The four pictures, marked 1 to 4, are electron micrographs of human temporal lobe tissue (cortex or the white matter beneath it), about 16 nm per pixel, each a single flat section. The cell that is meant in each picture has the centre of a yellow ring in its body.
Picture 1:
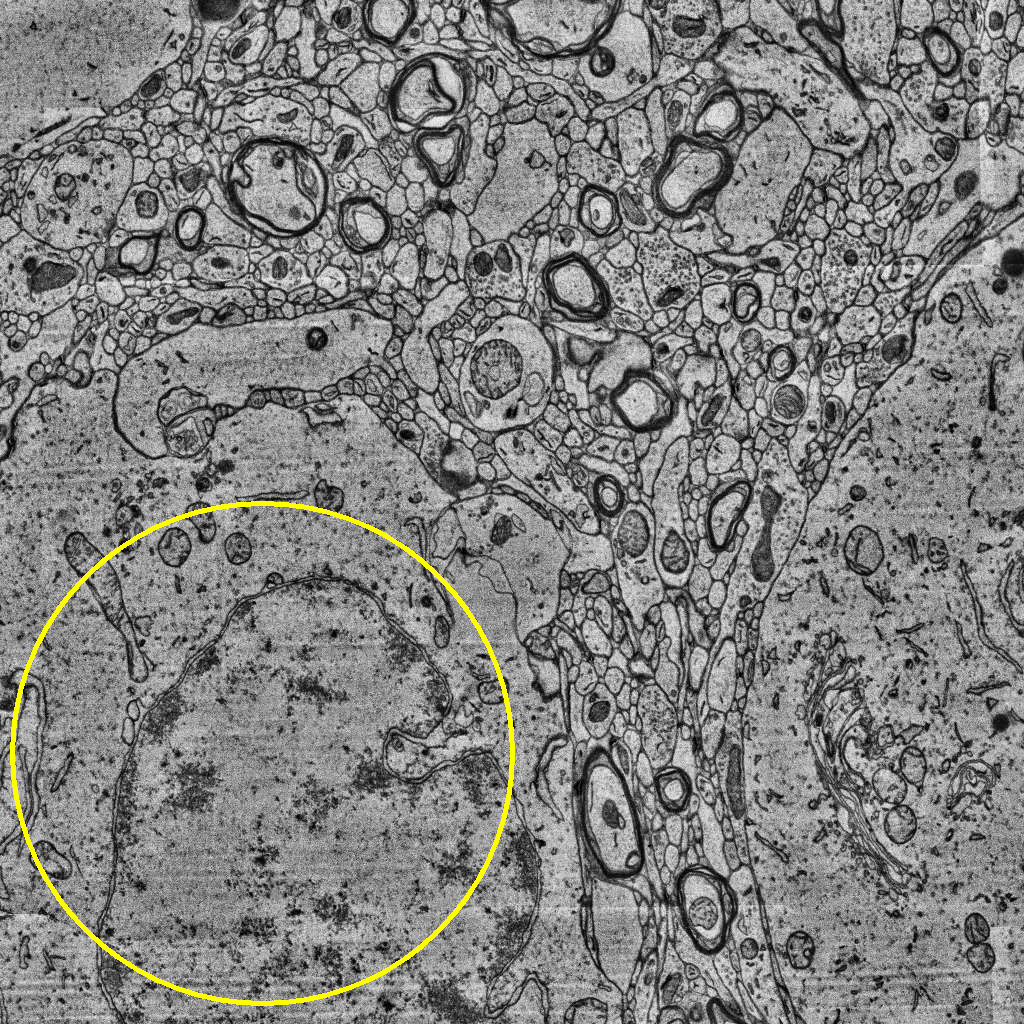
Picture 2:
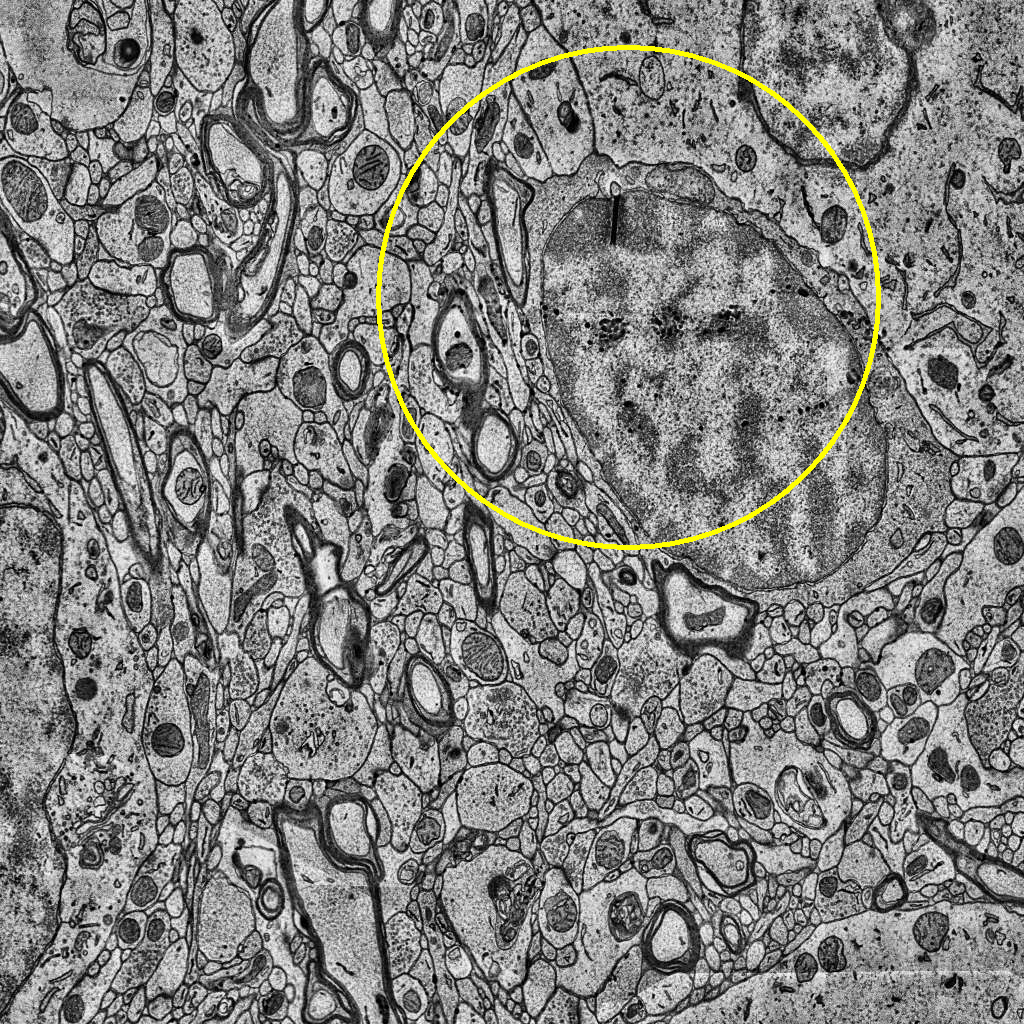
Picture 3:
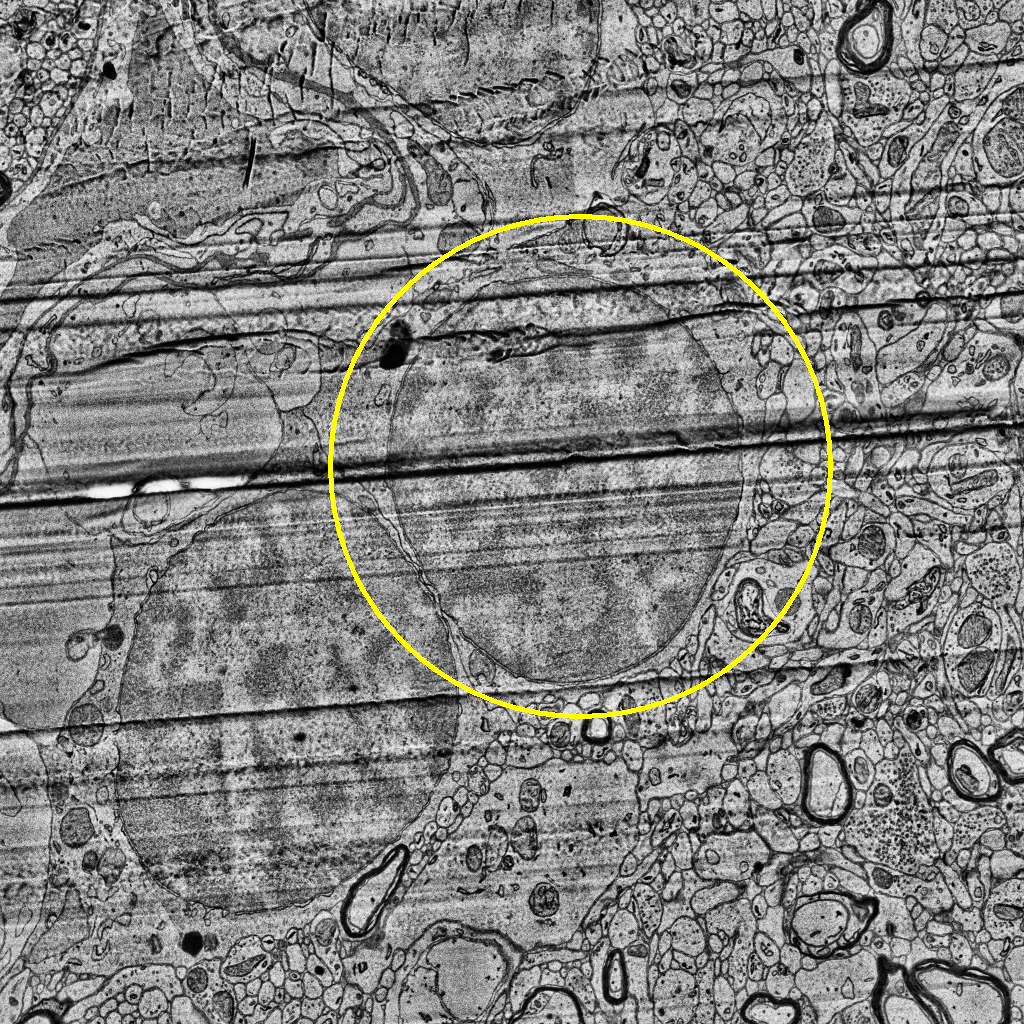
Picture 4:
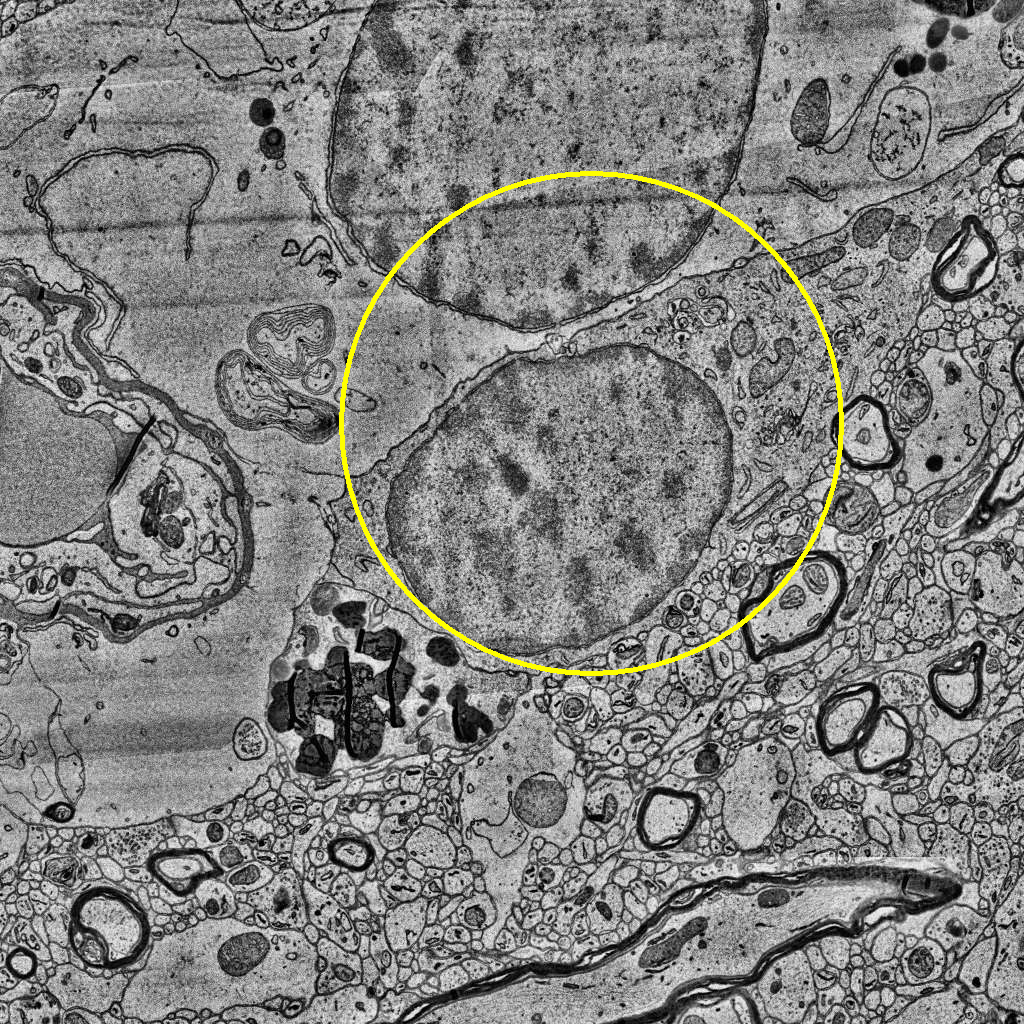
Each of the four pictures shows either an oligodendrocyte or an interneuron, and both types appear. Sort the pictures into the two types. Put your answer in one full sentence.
Pictures 2, 3 and 4 show oligodendrocytes, while picture 1 shows an interneuron.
